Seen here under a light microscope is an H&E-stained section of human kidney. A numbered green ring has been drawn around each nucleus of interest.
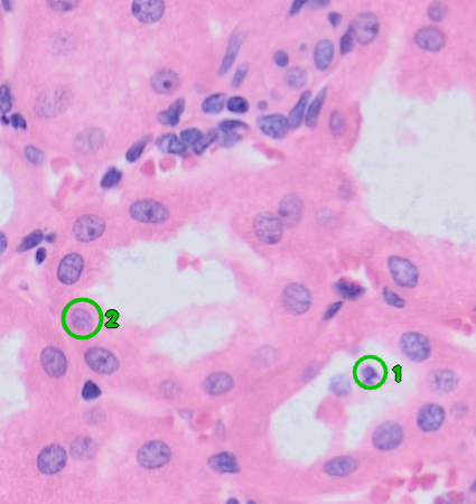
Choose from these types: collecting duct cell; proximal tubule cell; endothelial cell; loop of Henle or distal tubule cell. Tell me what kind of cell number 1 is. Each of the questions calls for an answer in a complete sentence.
The marked nucleus 1 is that of a loop of Henle or distal tubule cell.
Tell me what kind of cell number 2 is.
The cell pointed out as number 2 is a proximal tubule cell.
